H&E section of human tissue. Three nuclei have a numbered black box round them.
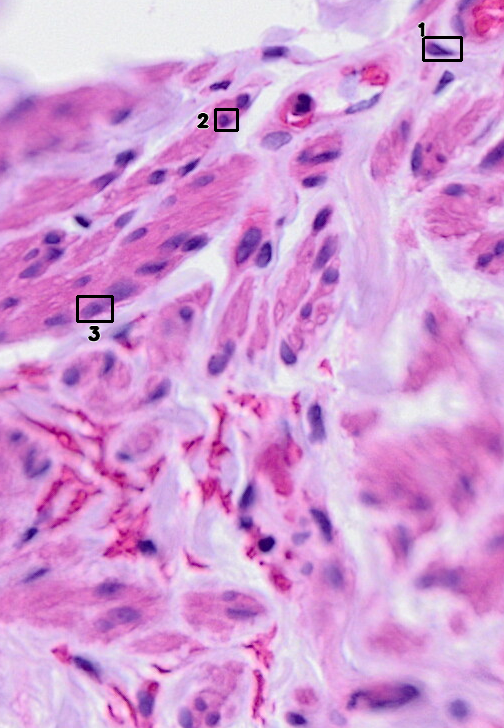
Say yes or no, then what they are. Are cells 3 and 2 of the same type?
Yes, both are smooth muscle cells.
